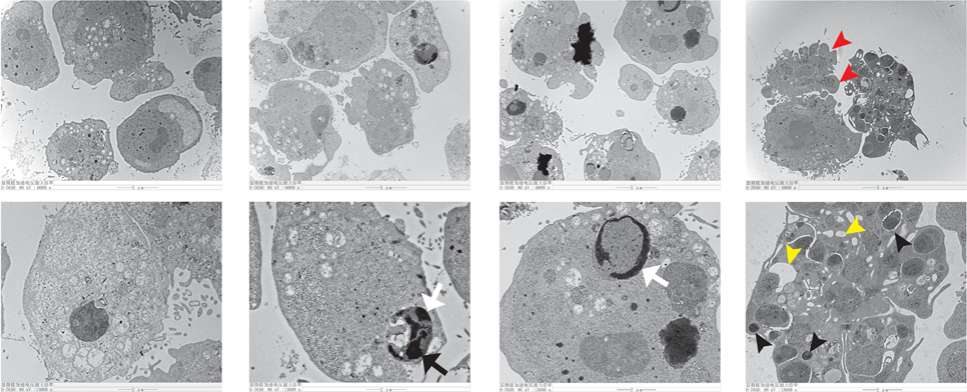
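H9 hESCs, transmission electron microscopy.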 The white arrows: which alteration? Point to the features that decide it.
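The white arrows point to very electron-dense, dark chromatin. In one cell the dark chromatin forms a crescent rim along the edge of the nucleus. The answer: chromatin condensation.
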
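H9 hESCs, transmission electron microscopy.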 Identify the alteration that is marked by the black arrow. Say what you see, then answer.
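Nuclear fragmentation. The black arrow points to a dense, broken-up nuclear mass inside the cell. The dark material lies in separate irregular pieces rather than in one round nucleus.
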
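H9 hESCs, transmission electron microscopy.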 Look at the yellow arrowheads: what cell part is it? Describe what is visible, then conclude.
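The yellow arrowheads point to clear, pale, membrane-bounded spaces in the cytoplasm. On this evidence: cytoplasmic vacuoles.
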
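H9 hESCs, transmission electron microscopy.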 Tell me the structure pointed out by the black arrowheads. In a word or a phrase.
apoptotic bodies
